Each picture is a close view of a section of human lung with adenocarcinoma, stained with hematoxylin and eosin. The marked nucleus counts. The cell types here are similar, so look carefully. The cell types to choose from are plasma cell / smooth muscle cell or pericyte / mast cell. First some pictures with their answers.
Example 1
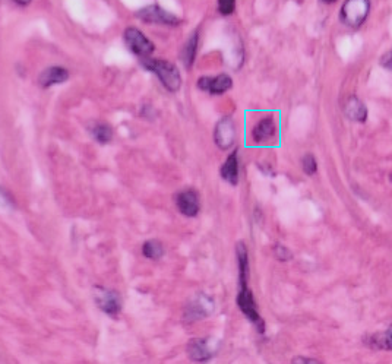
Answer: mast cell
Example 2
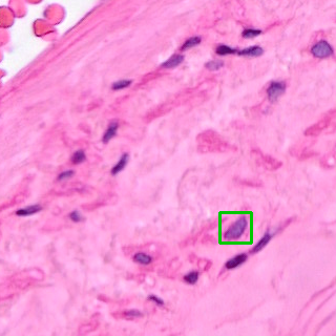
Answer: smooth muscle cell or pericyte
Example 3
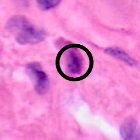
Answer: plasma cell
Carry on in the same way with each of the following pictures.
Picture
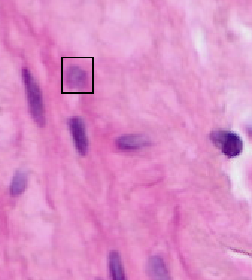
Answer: smooth muscle cell or pericyte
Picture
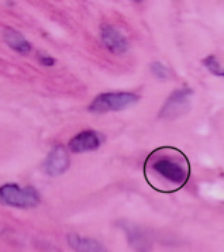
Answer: plasma cell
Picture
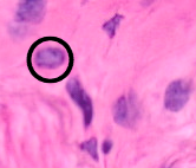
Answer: mast cell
